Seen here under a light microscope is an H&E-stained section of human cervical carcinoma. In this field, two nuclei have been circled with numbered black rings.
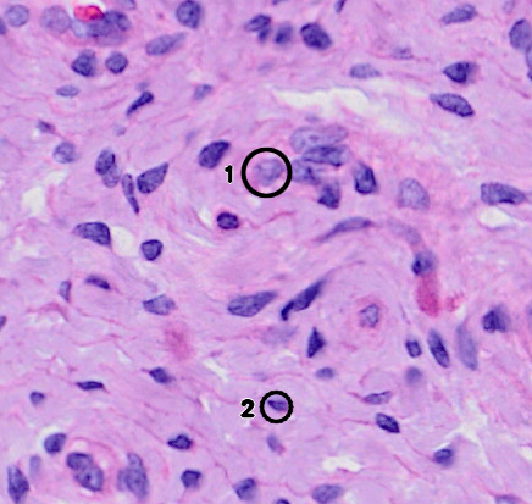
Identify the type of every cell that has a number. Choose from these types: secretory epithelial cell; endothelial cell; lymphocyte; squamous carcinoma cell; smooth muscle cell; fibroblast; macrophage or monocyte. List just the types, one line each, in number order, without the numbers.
endothelial cell
fibroblast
